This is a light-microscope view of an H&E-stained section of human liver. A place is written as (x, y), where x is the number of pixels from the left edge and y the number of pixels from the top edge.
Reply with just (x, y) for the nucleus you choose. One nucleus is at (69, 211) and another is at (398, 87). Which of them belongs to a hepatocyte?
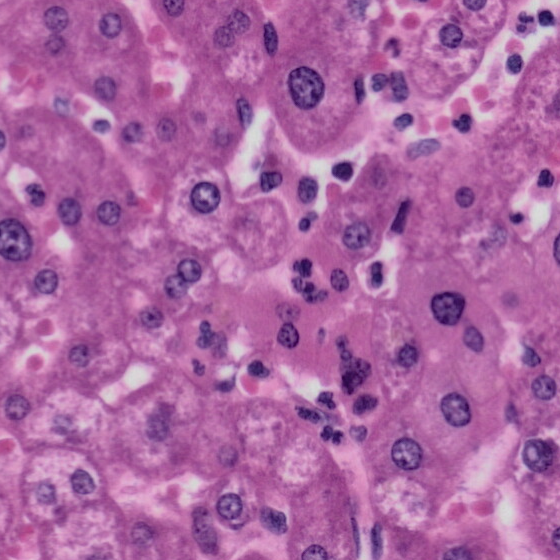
(69, 211)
